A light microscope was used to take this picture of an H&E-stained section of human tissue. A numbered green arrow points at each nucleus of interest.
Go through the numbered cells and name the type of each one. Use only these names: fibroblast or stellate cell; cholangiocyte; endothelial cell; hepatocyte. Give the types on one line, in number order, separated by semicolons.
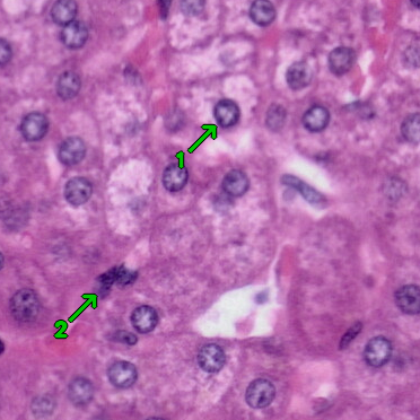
hepatocyte; fibroblast or stellate cell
